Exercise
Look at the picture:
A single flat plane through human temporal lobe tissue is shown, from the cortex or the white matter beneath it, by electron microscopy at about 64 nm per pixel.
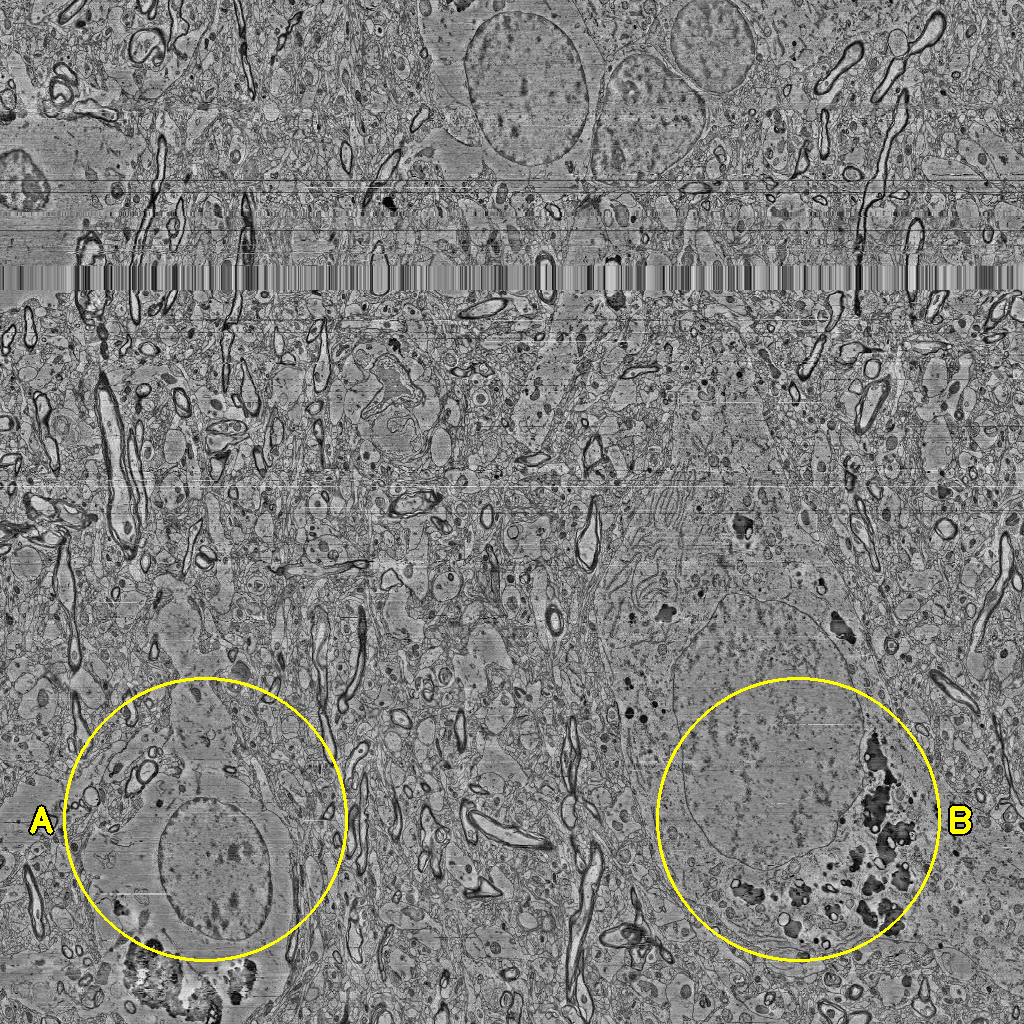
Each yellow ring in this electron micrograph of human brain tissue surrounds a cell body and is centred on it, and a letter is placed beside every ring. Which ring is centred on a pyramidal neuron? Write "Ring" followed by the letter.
Ring B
